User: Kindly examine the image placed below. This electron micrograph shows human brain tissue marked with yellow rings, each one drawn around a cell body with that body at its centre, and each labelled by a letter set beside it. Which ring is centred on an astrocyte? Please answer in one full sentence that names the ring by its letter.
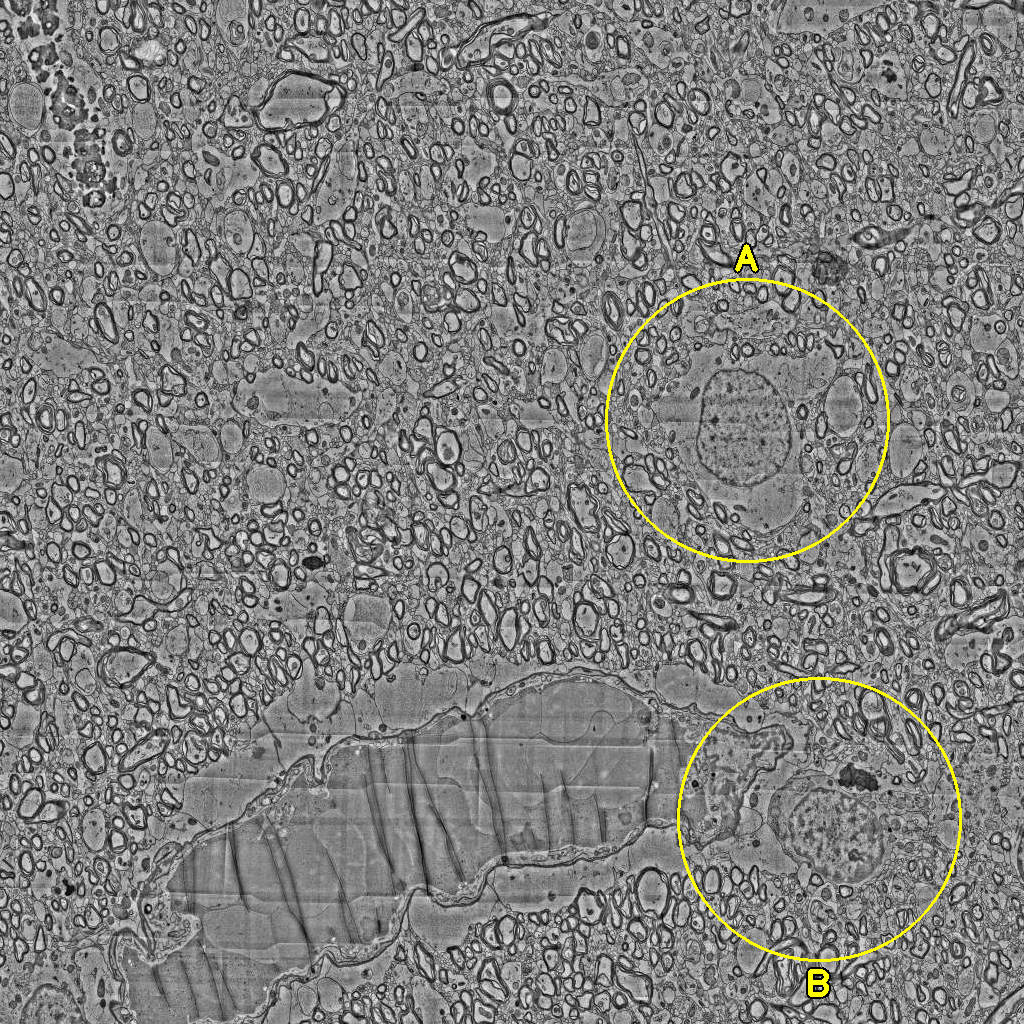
Ring A is the one drawn around the cell asked for.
